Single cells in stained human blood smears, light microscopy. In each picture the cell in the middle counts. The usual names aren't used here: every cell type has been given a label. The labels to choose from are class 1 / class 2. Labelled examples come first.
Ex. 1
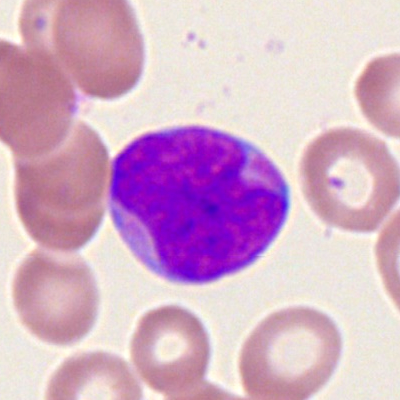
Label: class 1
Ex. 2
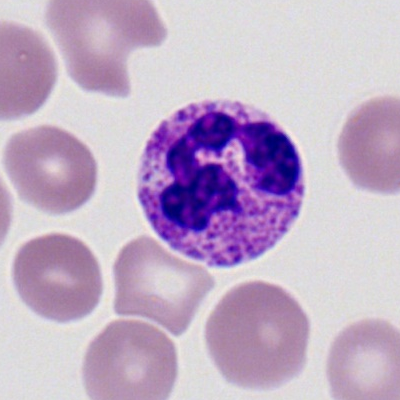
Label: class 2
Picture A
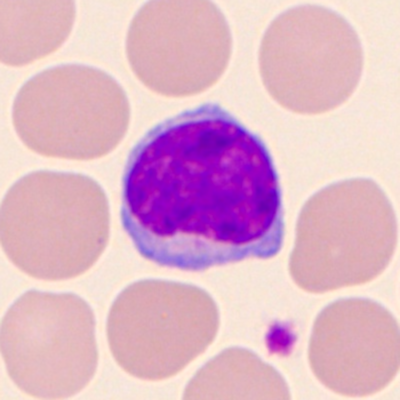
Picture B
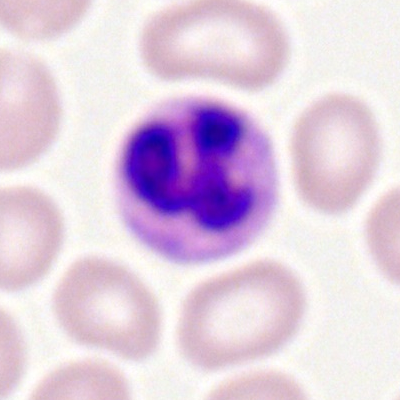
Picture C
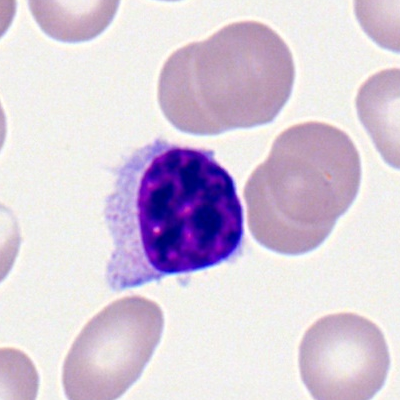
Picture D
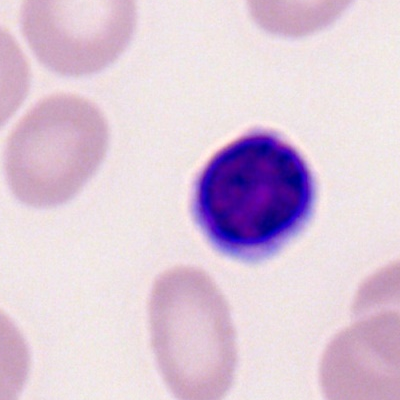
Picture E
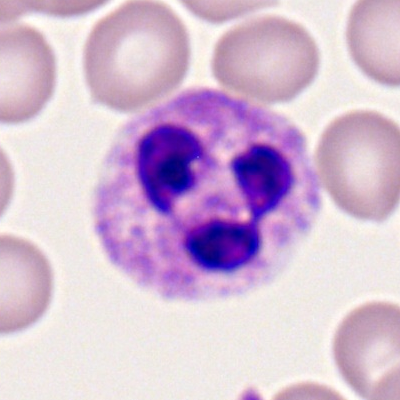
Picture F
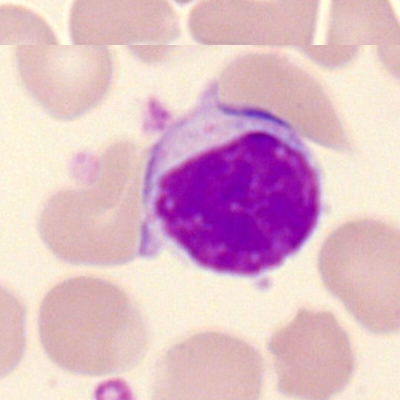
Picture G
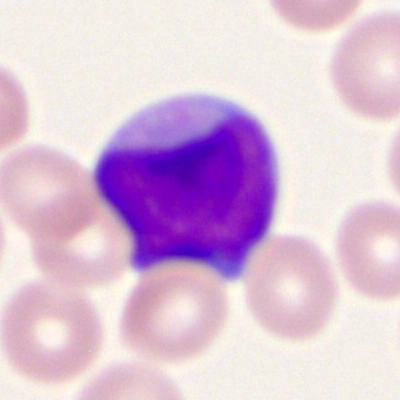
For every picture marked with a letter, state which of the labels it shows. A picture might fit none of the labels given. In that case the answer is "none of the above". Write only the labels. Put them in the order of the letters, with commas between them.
none of the above, class 2, none of the above, none of the above, class 2, none of the above, class 1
